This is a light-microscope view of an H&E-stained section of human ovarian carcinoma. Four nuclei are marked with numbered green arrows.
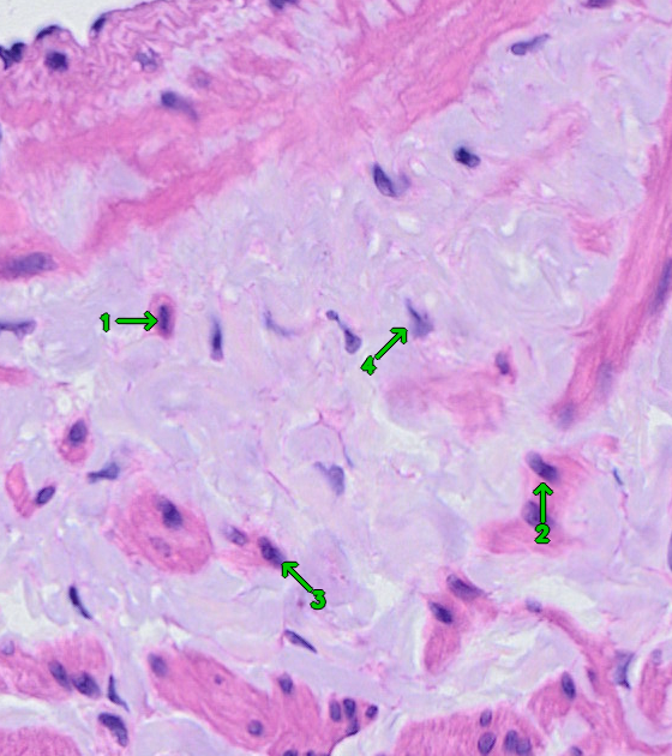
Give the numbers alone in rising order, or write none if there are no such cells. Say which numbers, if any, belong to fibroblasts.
4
